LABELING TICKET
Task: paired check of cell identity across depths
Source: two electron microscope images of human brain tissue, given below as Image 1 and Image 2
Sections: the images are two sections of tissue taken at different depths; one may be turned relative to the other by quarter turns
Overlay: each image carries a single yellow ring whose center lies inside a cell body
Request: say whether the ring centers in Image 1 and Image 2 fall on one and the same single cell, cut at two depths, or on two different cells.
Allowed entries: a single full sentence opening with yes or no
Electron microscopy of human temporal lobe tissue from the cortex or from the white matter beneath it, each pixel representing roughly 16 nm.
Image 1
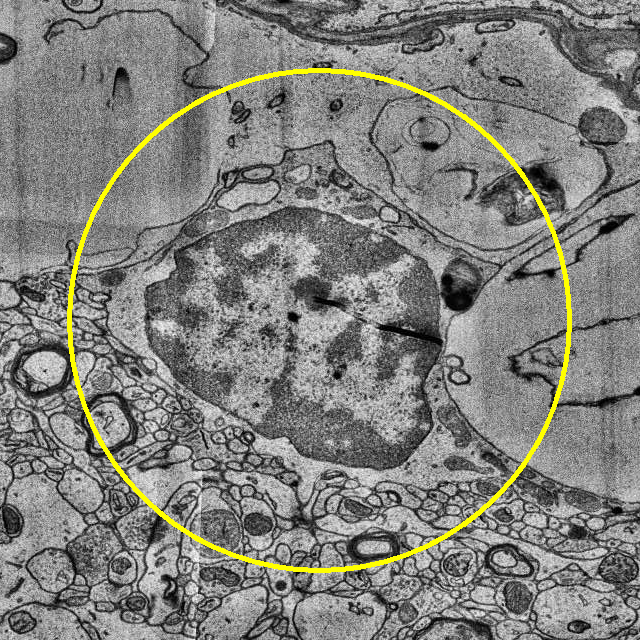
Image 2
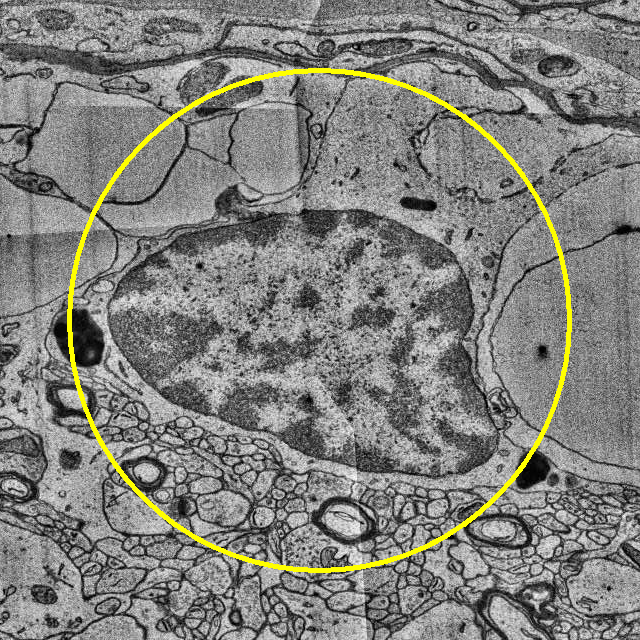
Yes, the first and second rings frame the same single cell.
